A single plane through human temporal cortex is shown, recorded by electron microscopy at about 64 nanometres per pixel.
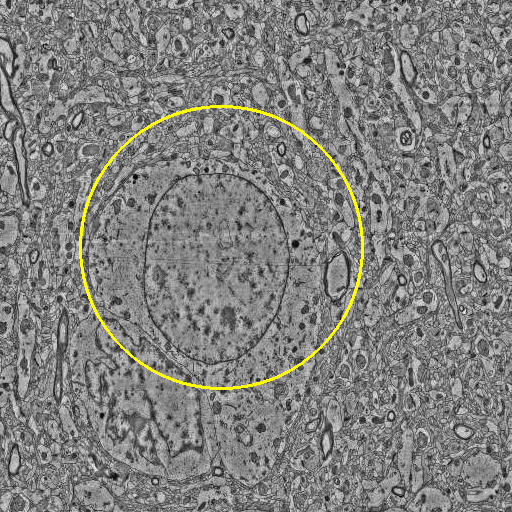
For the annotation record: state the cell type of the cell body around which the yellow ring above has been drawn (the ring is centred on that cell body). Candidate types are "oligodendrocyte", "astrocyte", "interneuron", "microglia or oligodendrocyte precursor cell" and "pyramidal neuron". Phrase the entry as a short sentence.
The ringed cell is a pyramidal neuron.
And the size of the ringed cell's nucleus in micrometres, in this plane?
The nucleus measures about 12 by 10 micrometres in this plane.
